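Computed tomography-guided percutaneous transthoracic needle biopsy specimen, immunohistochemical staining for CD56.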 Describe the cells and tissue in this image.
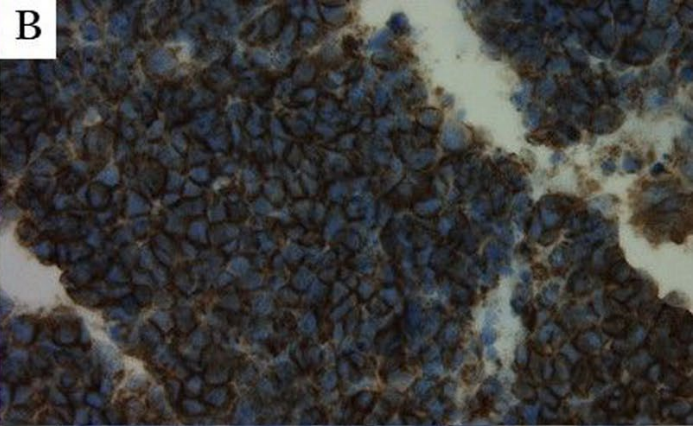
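Sheets of densely packed tumor cells carry a strong brown stain outlining their membranes. The stain forms a net-like pattern around nearly every cell, giving the sheet a honeycomb look. The nuclei are blue, crowded and fill most of each cell, leaving little cytoplasm. The cell sheets are broken by narrow empty clefts, along which a few detached stained cells lie.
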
